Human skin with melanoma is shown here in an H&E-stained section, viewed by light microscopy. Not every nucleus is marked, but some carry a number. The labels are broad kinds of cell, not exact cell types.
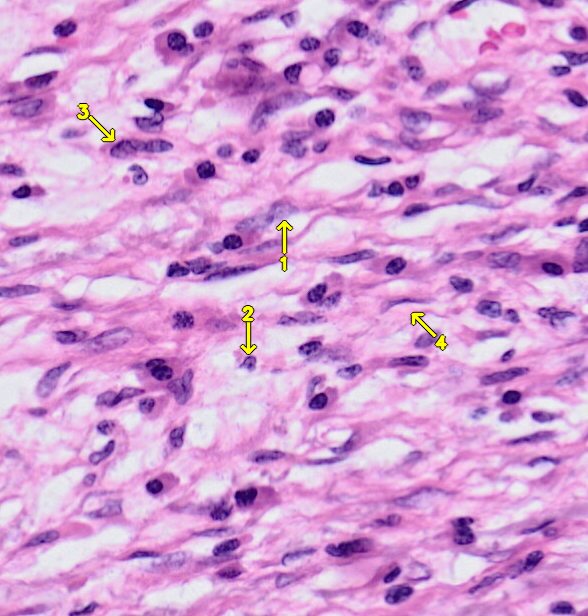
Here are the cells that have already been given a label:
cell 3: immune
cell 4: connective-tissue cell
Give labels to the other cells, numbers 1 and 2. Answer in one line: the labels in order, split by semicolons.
connective-tissue cell; immune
